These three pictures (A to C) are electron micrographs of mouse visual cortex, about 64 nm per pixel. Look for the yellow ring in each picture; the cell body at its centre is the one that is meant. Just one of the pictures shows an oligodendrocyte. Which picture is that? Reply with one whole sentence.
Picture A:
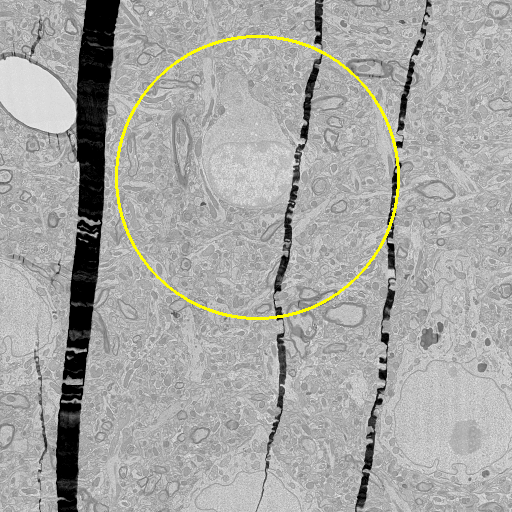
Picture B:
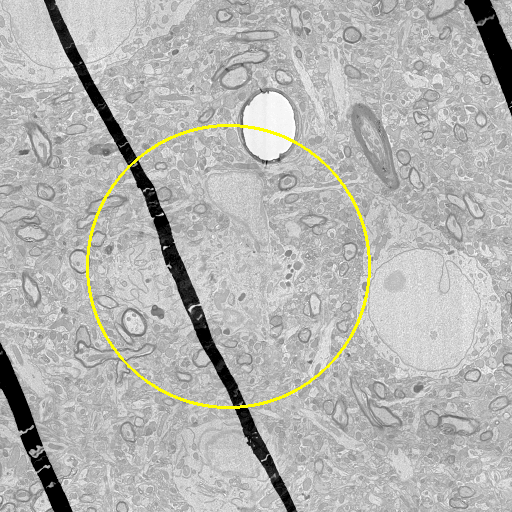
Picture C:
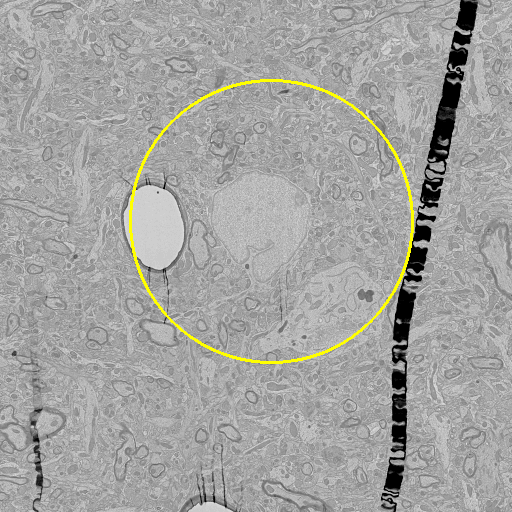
It is picture A that shows the oligodendrocyte.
